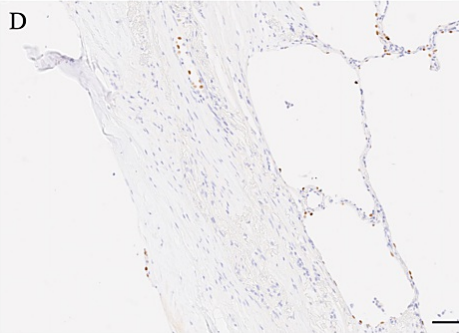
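A thick pale fibrous wall with scattered blue spindle-shaped nuclei occupies the left, bordering thin-walled alveolar spaces on the right. Small brown-stained nuclei lie scattered along the alveolar septa and in a few spots at the edge of the wall facing the airspaces. Most of the wall itself shows only blue nuclei.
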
